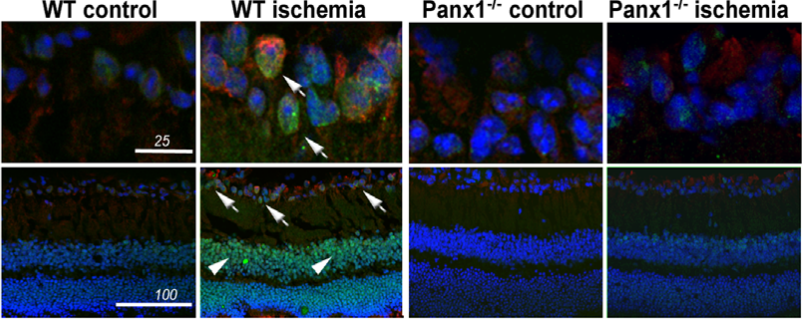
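These are sections through the retina showing its layers of nuclei, with close-up views of cells in the ganglion cell layer on top and the full thickness below. In the lower views, a thin row of scattered nuclei lies at the inner edge, followed by a darker fibrous band, then a thick band of densely packed nuclei, and beyond another band of tightly packed nuclei. In one section the cells of the ganglion cell layer carry red and green signal in their cytoplasm around blue nuclei, and the middle band of nuclei is tinted green with scattered brighter green dots. In the close-ups these ganglion cell layer cells appear as rounded cells with large oval nuclei, some with a ring of red and green around the nucleus. In the other sections the nuclei appear mostly blue, with only faint or patchy red and green.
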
